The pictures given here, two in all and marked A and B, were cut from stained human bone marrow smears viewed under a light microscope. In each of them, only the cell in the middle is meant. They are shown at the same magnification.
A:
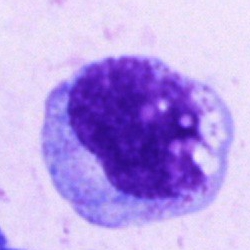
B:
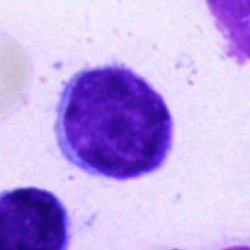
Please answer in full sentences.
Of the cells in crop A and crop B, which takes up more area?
It is the cell in crop A, about 2 times as large in area as the cell in crop B.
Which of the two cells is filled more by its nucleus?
Of the two, the nucleus in crop B makes up the greater part of its cell.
